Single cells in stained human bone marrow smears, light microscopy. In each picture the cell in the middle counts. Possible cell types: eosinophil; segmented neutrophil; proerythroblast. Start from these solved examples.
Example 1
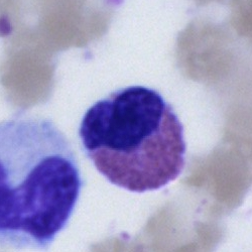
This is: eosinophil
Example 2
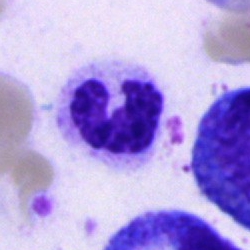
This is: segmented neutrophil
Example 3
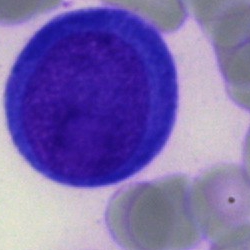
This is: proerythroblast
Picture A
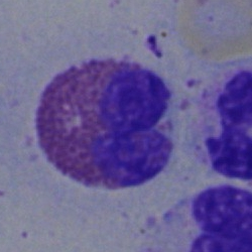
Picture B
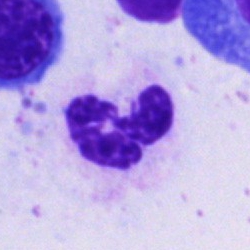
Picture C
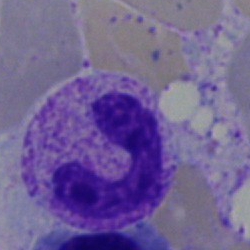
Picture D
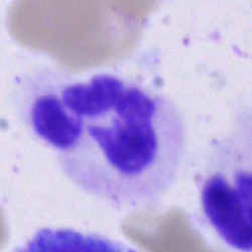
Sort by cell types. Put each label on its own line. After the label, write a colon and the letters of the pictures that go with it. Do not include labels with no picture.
eosinophil: A
segmented neutrophil: B, C, D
